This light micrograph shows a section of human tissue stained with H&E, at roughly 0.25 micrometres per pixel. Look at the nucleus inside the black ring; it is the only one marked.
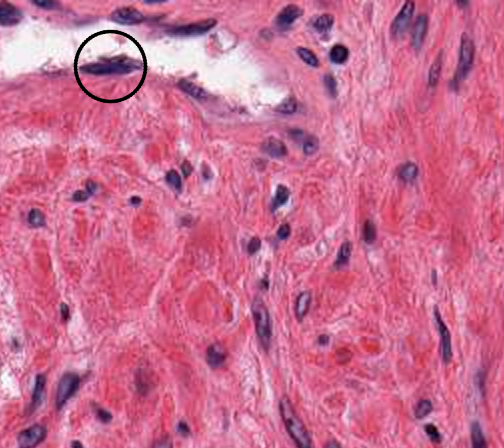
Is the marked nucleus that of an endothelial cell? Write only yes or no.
yes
